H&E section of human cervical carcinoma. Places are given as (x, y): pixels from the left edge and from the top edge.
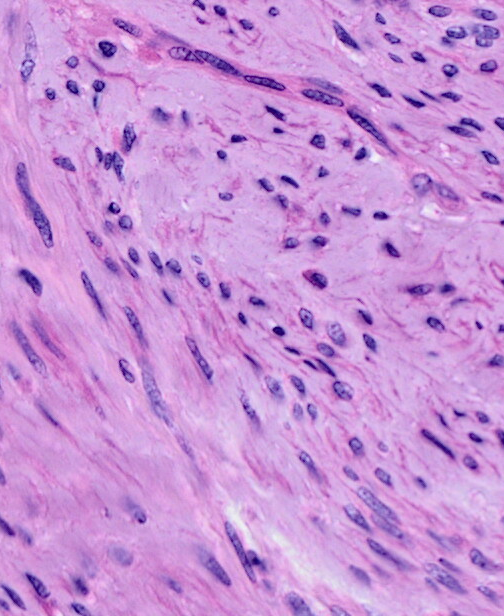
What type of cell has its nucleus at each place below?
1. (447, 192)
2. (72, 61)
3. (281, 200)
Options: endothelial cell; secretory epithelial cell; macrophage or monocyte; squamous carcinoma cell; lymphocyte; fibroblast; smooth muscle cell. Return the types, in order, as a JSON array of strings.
["endothelial cell", "smooth muscle cell", "smooth muscle cell"]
